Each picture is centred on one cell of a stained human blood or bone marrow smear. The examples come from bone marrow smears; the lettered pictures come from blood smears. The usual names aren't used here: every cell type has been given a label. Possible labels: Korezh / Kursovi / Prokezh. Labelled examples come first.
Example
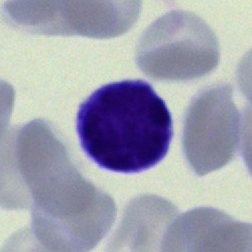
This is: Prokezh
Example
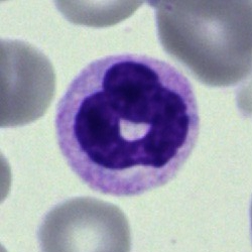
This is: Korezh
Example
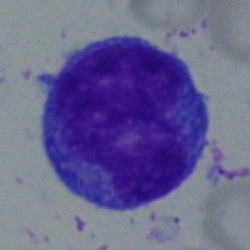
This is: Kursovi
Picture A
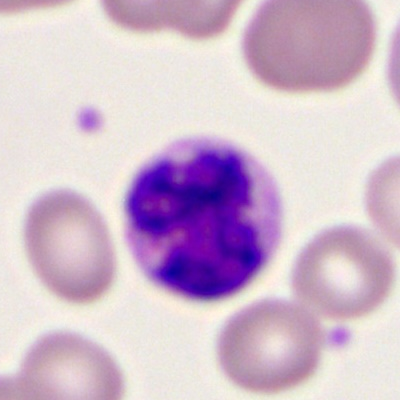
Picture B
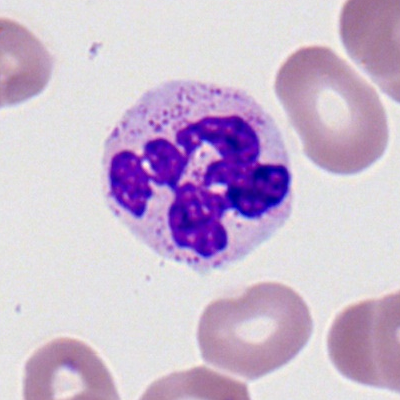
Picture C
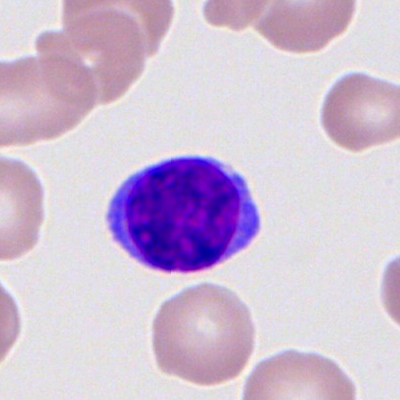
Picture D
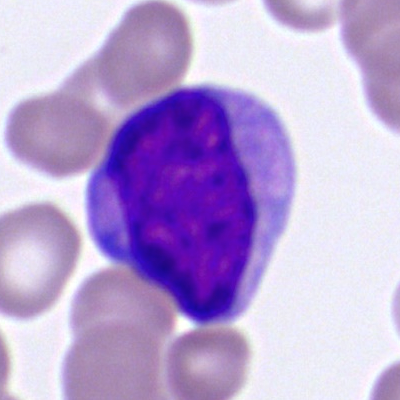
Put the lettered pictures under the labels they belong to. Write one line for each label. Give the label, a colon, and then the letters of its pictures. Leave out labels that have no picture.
Korezh: A, B
Kursovi: D
Prokezh: C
